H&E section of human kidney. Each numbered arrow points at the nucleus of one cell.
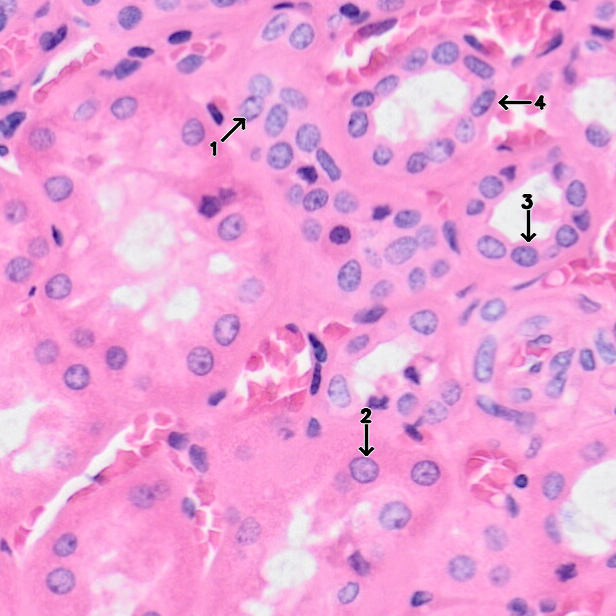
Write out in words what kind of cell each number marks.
Cells 1, 3 and 4 are collecting duct cells. Cell 2 is a proximal tubule cell.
